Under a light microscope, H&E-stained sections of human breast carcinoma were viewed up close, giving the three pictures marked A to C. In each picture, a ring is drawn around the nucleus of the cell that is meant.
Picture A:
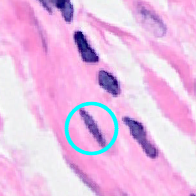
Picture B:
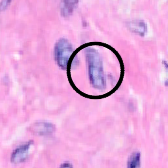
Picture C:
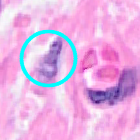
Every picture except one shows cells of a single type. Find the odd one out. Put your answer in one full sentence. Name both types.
Unlike the rest, which show fibroblasts, picture B shows an endothelial cell.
